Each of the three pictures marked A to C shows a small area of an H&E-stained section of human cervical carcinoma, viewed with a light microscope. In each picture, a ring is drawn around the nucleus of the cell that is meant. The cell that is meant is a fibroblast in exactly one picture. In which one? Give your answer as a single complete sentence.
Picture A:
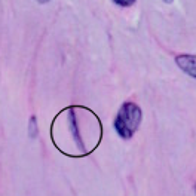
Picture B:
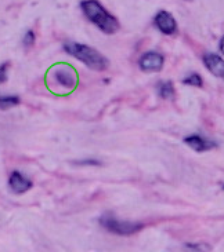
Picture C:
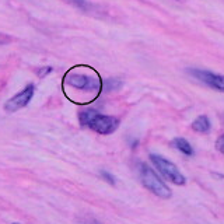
The fibroblast is the one in picture A.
